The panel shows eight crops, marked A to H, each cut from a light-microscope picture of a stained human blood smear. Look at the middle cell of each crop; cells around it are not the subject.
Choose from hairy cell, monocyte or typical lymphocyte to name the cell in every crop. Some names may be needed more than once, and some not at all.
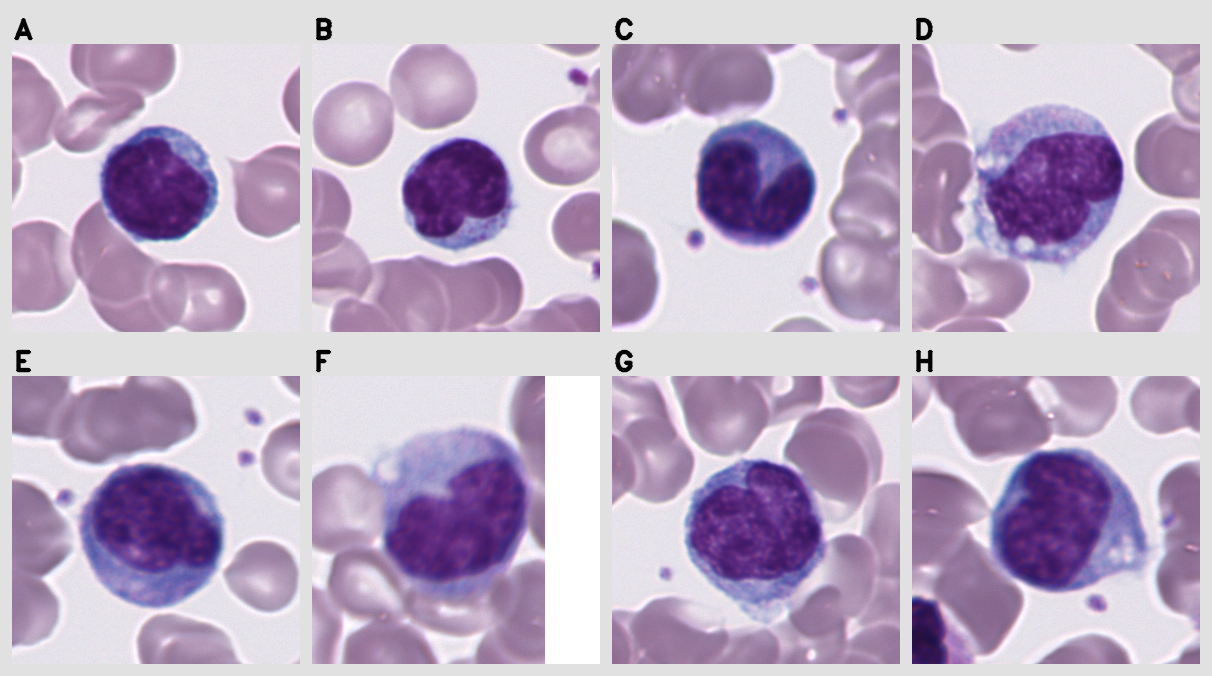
A: typical lymphocyte
B: typical lymphocyte
C: monocyte
D: monocyte
E: monocyte
F: monocyte
G: monocyte
H: monocyte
